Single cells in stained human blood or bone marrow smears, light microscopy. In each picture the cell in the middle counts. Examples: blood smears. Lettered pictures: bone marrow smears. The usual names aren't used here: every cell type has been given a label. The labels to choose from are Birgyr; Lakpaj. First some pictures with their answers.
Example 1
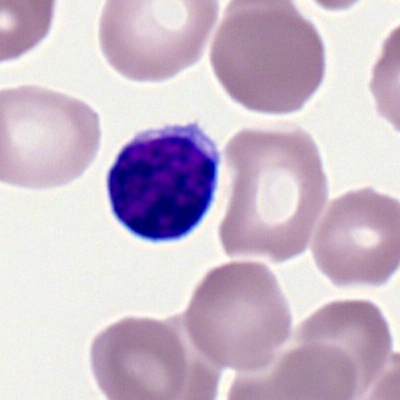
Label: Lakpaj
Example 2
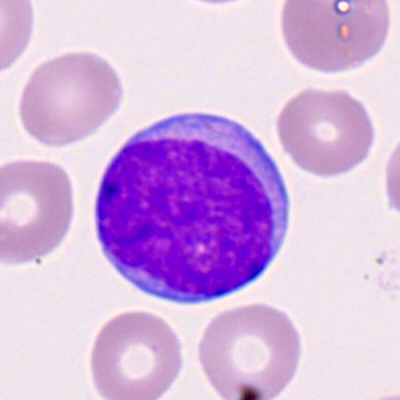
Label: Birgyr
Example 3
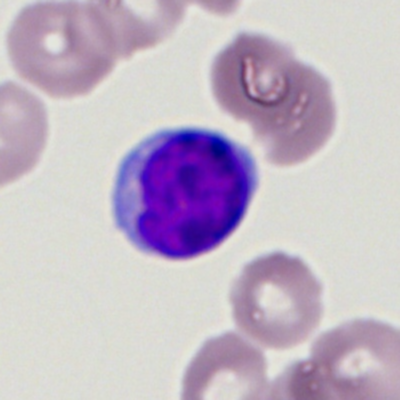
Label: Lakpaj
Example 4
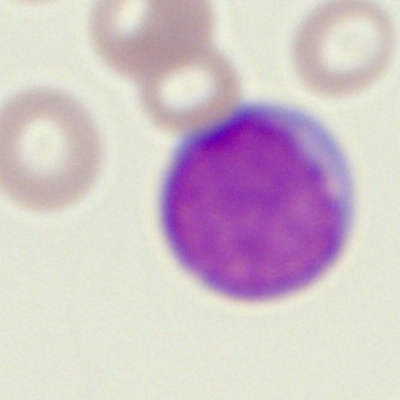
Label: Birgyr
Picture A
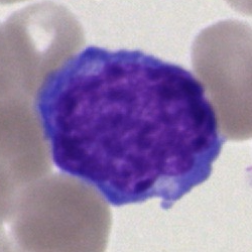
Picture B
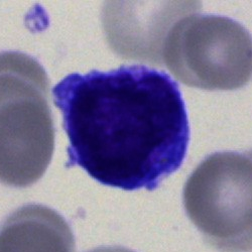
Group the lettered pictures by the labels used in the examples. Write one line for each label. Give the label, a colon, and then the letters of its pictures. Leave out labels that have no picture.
Birgyr: A, B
